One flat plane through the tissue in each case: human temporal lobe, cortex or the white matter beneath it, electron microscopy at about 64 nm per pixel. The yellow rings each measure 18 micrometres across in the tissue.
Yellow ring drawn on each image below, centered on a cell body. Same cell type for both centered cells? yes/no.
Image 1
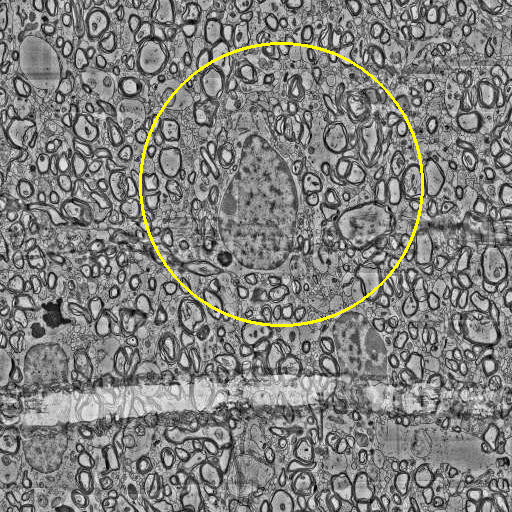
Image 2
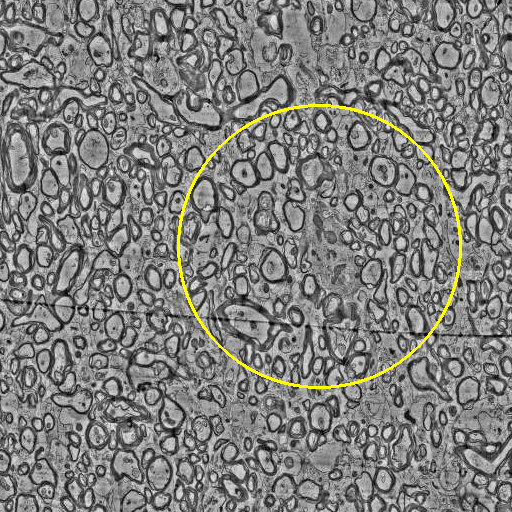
no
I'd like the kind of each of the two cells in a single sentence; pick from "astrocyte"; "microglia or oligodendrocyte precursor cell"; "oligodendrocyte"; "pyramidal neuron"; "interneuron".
The first ring marks a microglial cell or oligodendrocyte precursor cell, and the second ring marks an oligodendrocyte.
